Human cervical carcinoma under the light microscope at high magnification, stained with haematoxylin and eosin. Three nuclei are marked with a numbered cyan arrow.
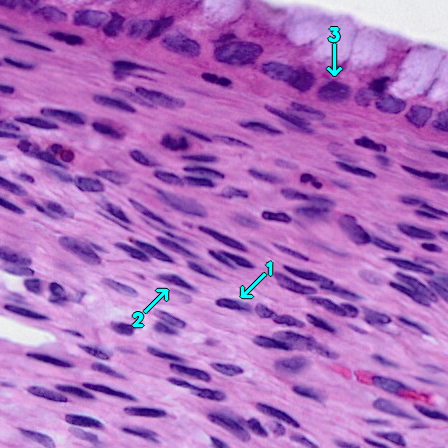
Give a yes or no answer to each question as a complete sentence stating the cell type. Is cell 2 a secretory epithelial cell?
No, the cell bearing number 2 is not a secretory epithelial cell but a fibroblast.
